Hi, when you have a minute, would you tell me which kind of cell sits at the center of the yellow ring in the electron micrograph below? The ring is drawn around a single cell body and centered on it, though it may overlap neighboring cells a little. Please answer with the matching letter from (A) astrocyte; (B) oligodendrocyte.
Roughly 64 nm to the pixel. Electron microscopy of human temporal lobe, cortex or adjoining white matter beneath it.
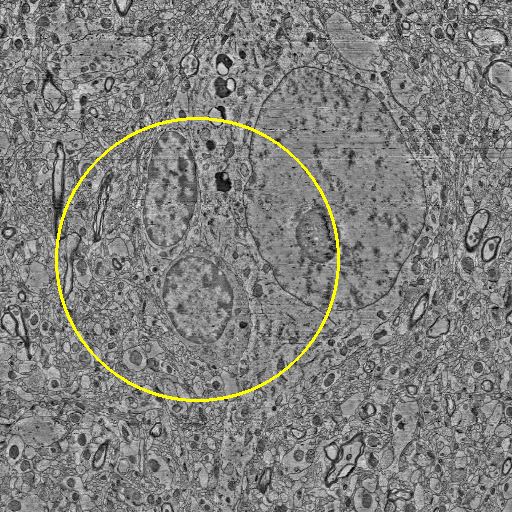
B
